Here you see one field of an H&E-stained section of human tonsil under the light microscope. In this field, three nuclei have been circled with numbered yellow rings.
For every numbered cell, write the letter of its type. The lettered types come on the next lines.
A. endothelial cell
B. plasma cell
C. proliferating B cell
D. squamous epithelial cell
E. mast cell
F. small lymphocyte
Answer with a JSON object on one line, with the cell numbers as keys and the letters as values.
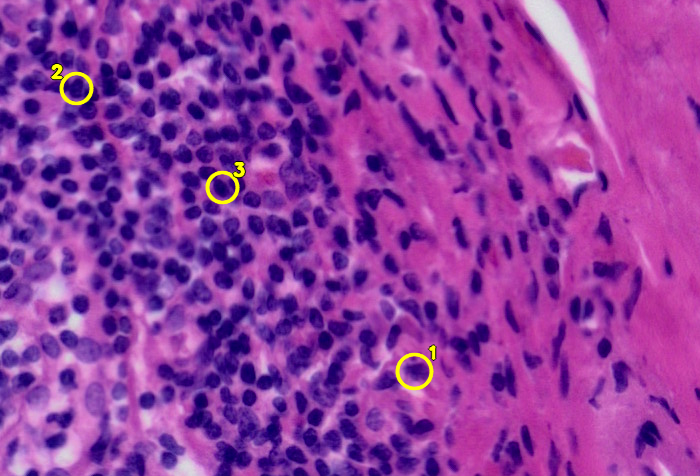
{"1": "A", "2": "F", "3": "F"}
